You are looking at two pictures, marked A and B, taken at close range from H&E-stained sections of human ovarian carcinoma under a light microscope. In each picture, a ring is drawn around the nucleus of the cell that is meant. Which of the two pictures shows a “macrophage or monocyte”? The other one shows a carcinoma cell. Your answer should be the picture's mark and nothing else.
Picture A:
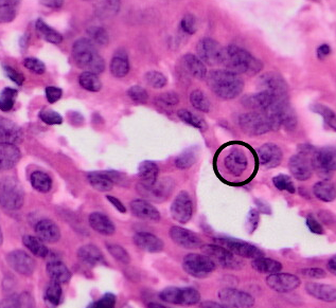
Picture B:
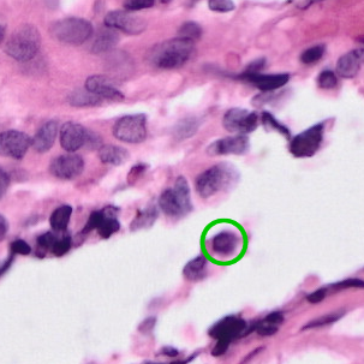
A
